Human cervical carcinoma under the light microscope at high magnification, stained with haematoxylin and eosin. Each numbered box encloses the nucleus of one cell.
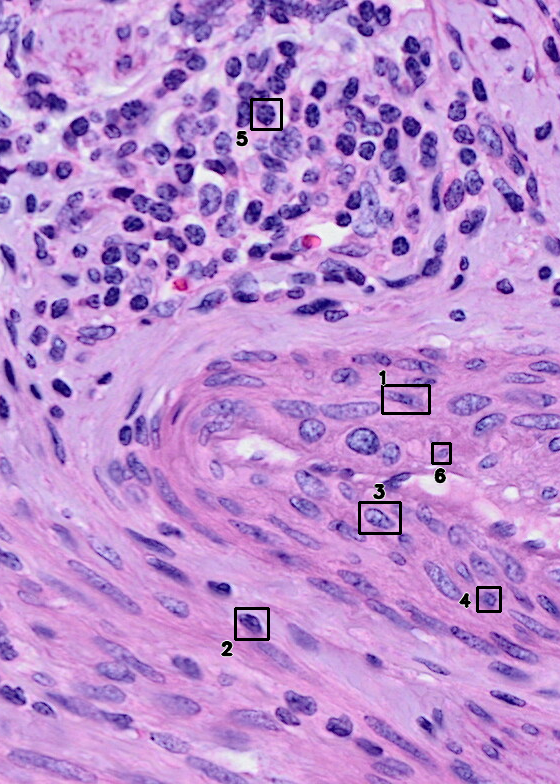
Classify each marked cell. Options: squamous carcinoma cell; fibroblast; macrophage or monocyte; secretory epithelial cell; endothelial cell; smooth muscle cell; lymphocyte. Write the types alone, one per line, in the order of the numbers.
smooth muscle cell
lymphocyte
smooth muscle cell
smooth muscle cell
lymphocyte
smooth muscle cell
